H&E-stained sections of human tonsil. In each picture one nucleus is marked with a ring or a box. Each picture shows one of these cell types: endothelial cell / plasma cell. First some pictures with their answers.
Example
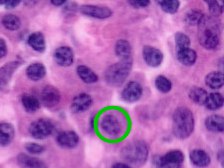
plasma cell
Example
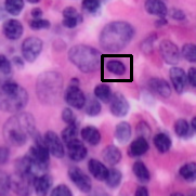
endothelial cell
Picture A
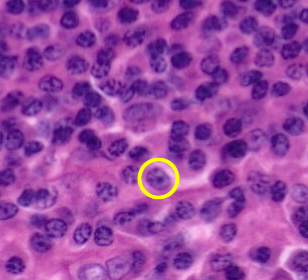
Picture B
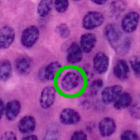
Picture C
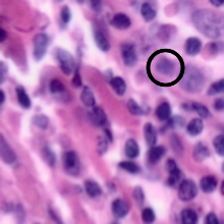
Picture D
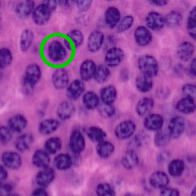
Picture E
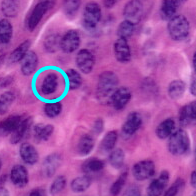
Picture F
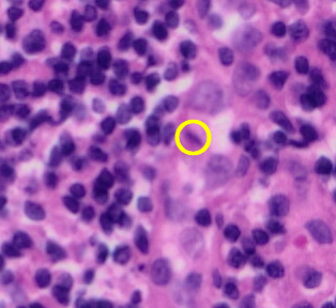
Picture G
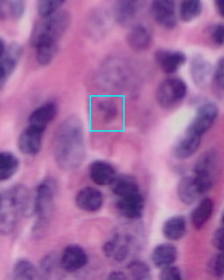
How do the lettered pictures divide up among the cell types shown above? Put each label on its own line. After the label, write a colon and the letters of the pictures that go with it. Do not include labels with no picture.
endothelial cell: C, F, G
plasma cell: A, B, D, E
